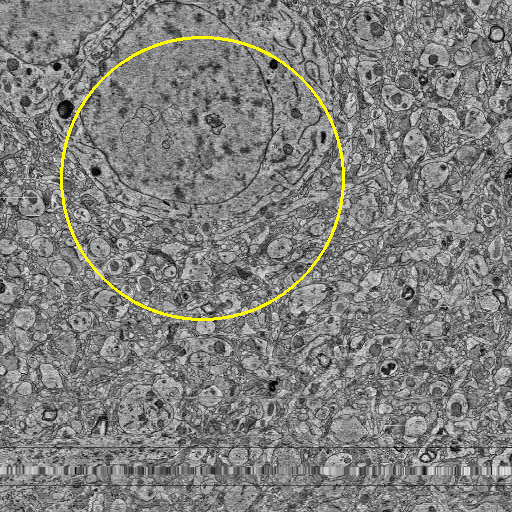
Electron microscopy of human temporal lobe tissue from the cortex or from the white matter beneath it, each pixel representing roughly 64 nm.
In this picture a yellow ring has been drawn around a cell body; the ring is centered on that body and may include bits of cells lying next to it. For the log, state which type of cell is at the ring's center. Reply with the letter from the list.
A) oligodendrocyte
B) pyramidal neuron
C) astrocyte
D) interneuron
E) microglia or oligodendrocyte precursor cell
B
